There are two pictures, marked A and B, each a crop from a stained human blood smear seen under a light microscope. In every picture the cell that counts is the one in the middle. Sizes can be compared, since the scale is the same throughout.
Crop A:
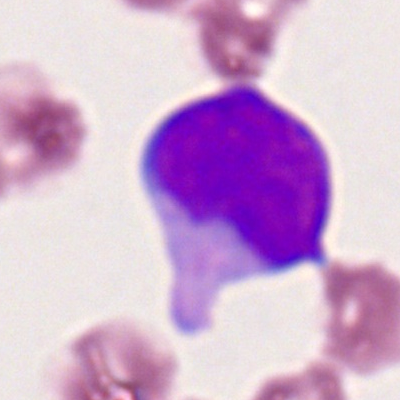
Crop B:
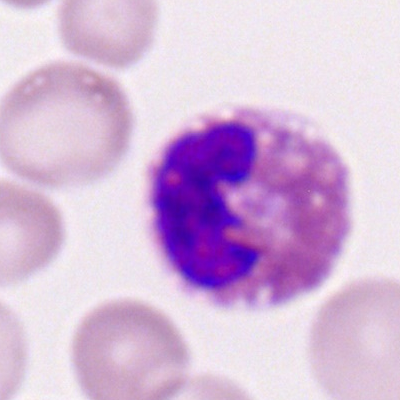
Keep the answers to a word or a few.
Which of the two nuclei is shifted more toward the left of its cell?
B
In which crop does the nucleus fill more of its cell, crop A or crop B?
A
